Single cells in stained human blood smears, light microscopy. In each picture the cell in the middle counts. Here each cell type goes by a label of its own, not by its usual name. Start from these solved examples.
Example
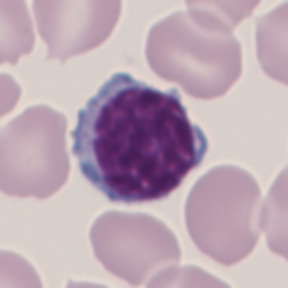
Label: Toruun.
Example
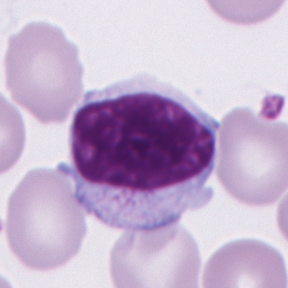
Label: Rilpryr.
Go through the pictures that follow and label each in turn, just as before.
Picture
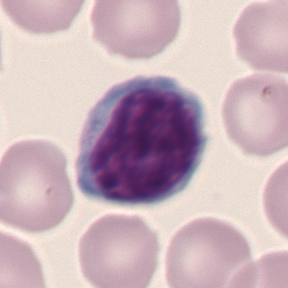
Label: Toruun.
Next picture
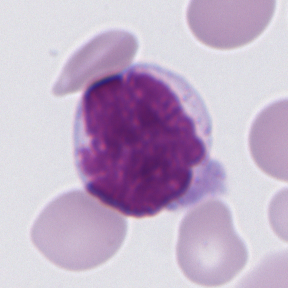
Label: Rilpryr.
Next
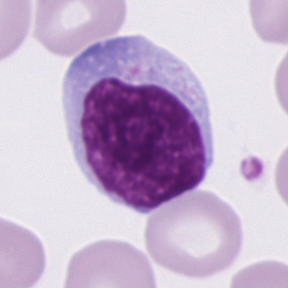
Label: Rilpryr.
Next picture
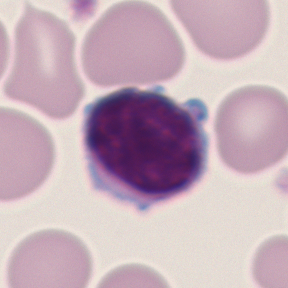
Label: Toruun.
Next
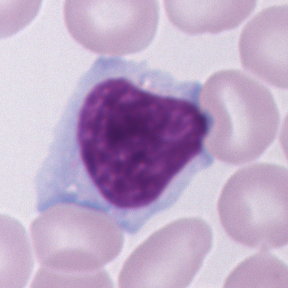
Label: Toruun.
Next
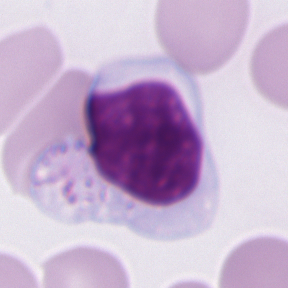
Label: Rilpryr.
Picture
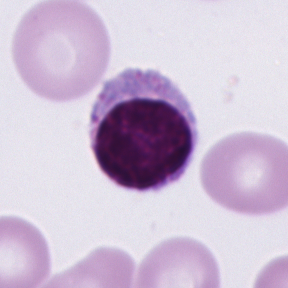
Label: Rilpryr.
